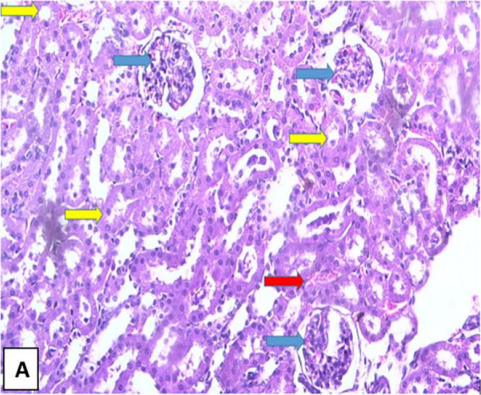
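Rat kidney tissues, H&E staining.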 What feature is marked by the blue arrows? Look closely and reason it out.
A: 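Renal glomeruli. Rounded tufts packed with purple nuclei. Each tuft is surrounded by a clear space and a thin capsule.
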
